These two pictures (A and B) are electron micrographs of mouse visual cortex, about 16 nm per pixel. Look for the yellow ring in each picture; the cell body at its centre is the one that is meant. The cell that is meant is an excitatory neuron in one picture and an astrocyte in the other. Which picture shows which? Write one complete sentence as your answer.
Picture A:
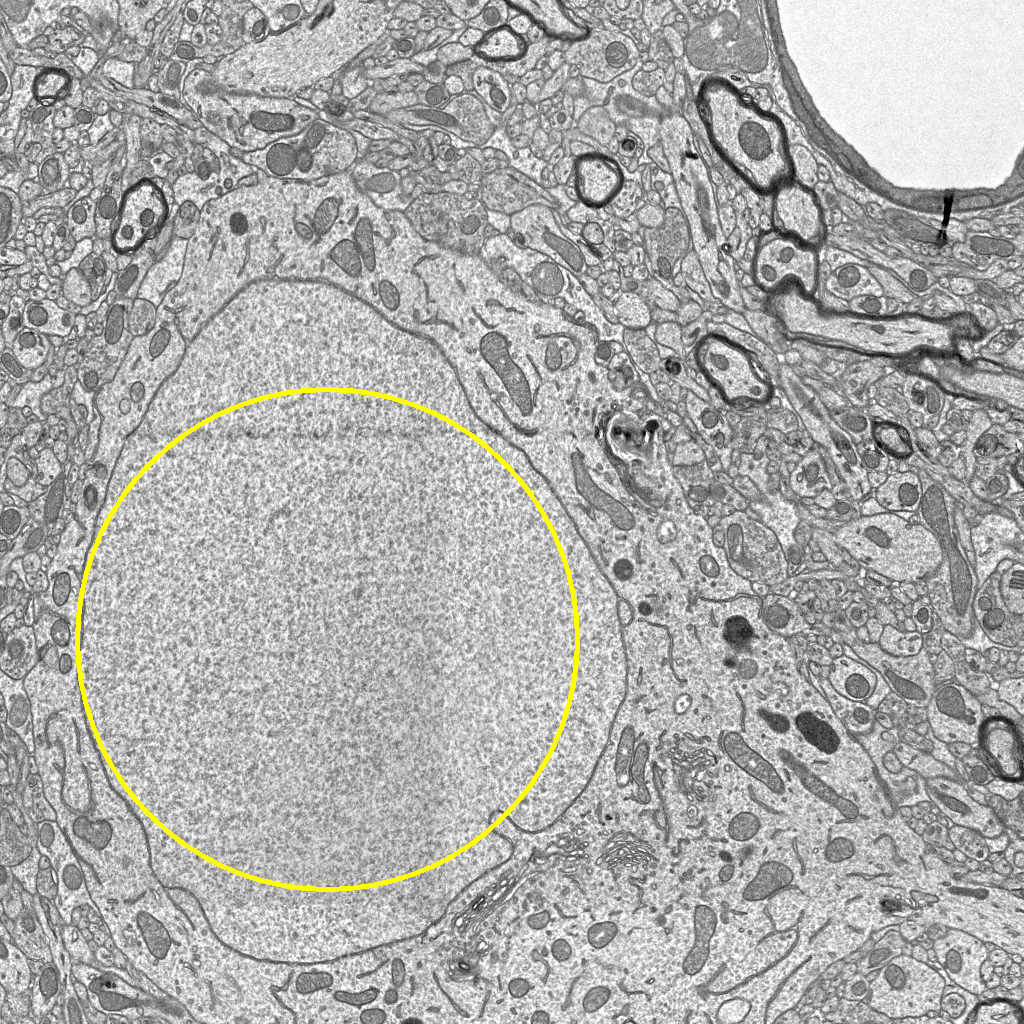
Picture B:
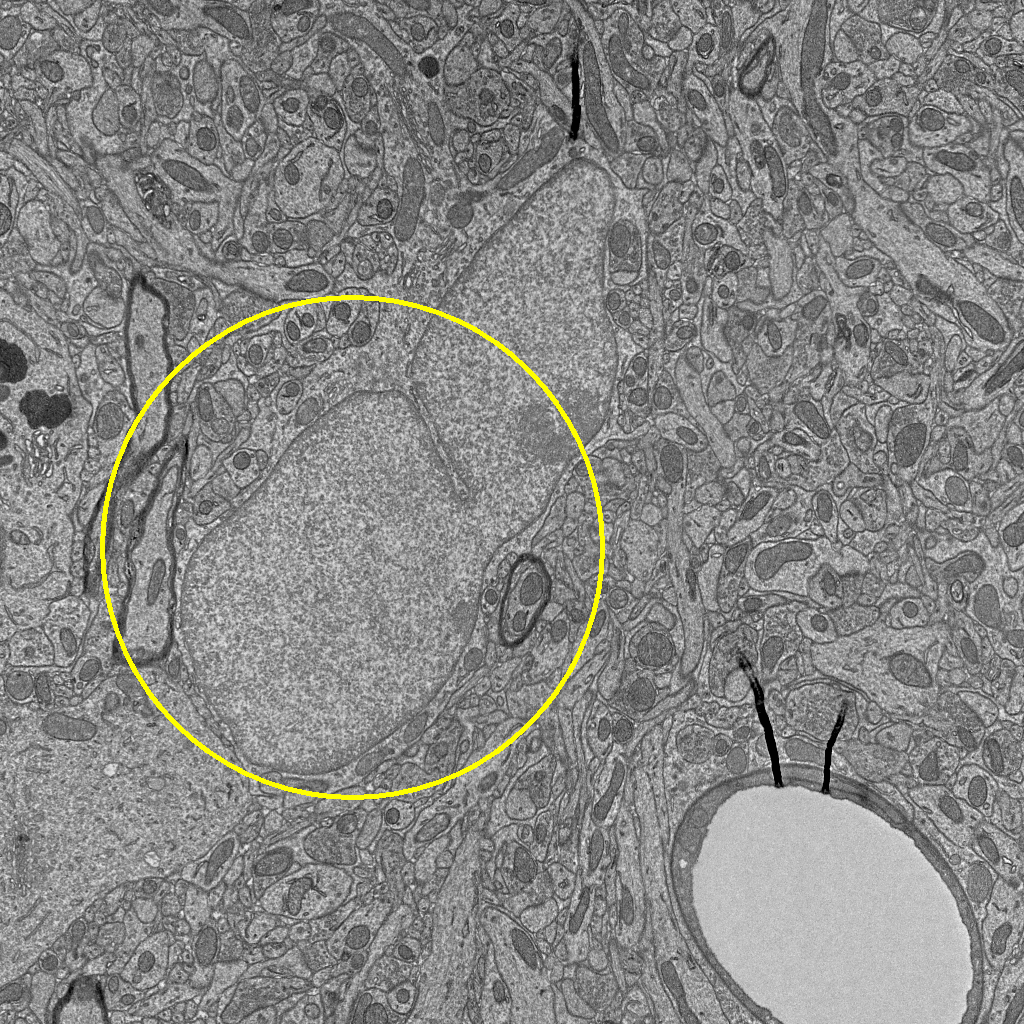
Picture B shows an astrocyte, while picture A shows an excitatory neuron.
